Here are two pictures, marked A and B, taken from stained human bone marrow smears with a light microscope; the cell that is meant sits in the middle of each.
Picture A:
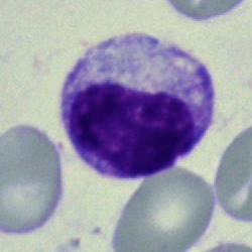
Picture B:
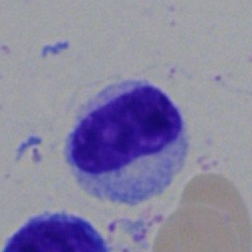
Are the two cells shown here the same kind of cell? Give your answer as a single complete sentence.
Yes, the two pictures both show metamyelocytes.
